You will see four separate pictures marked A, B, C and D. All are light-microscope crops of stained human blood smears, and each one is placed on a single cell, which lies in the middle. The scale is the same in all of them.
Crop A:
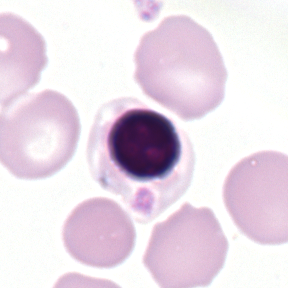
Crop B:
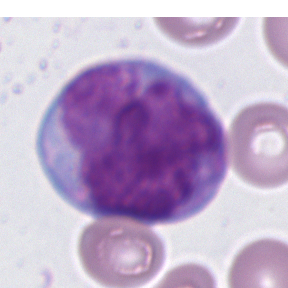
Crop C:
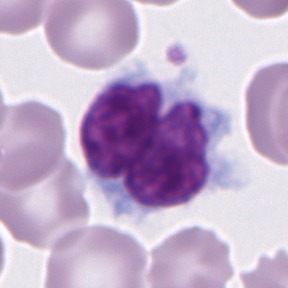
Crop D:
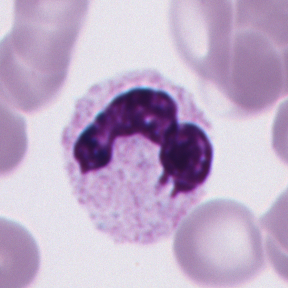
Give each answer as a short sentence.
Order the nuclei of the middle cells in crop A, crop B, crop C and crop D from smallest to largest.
From the smallest up, the order is A, D, C, B.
